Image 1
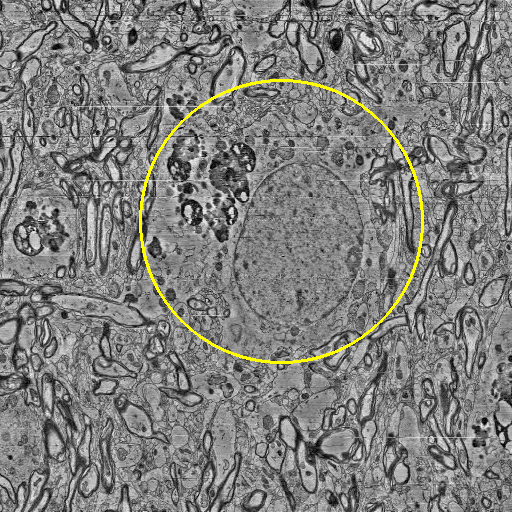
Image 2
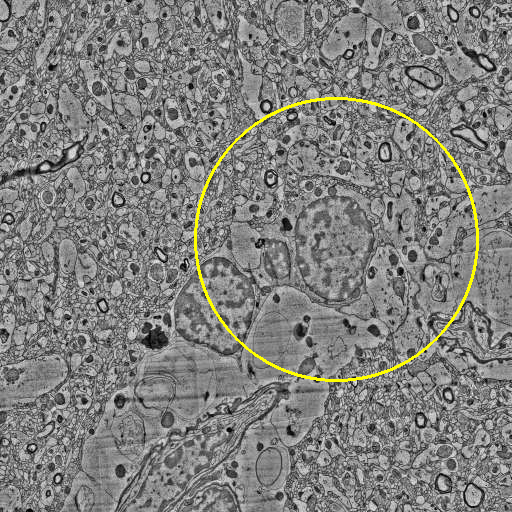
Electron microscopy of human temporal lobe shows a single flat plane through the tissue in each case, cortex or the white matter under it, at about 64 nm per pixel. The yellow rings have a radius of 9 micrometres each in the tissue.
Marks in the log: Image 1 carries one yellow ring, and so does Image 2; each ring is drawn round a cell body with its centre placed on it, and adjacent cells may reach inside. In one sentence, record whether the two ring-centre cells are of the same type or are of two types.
The two cells at the ring centres, one in each image, are of two types.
